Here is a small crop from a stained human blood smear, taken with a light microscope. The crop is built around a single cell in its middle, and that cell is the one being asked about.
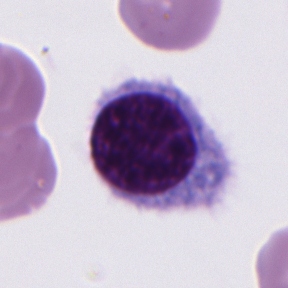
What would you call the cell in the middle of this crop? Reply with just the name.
hairy cell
